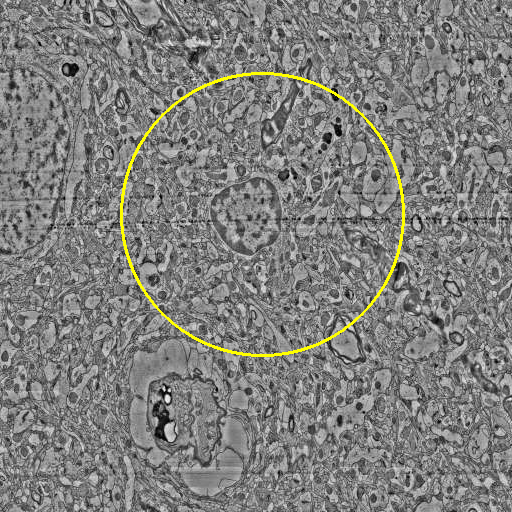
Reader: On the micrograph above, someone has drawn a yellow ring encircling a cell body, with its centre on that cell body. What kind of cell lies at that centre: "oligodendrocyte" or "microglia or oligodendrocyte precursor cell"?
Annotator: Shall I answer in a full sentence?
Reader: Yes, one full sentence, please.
Here a microglial cell or oligodendrocyte precursor cell sits at the centre of the yellow ring drawn on the micrograph.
